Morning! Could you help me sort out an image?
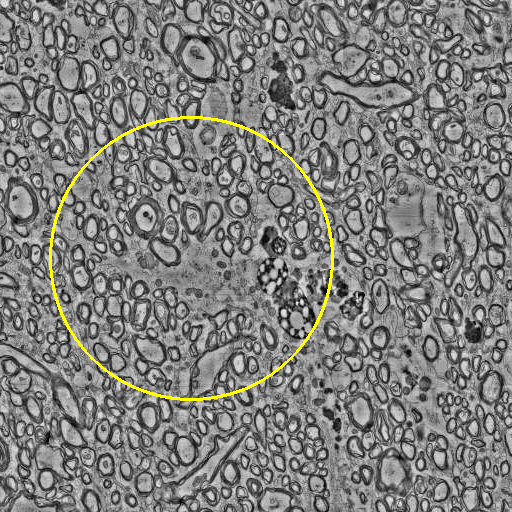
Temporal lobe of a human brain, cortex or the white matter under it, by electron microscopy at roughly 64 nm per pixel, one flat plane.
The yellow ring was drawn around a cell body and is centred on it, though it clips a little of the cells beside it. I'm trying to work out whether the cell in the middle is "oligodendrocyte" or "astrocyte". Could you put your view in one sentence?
The ringed cell body is that of an astrocyte.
